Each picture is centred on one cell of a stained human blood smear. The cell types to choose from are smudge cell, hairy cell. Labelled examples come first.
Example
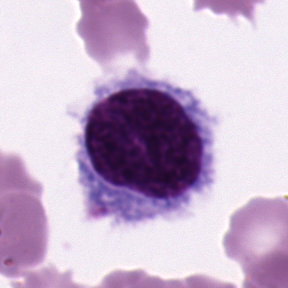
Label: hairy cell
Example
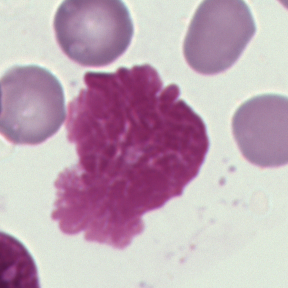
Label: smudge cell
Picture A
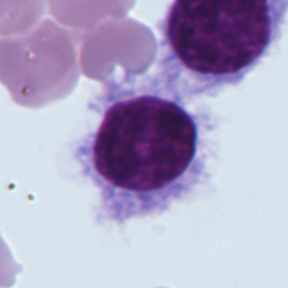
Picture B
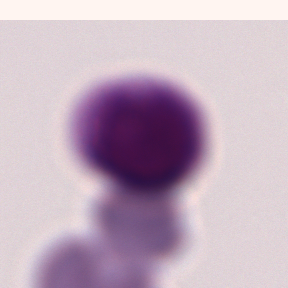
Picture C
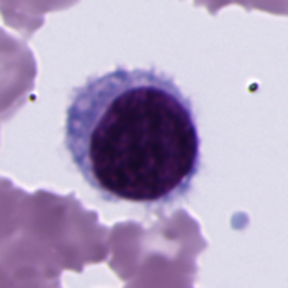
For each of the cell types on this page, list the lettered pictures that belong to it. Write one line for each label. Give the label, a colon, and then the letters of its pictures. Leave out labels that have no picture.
smudge cell: B
hairy cell: A, C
